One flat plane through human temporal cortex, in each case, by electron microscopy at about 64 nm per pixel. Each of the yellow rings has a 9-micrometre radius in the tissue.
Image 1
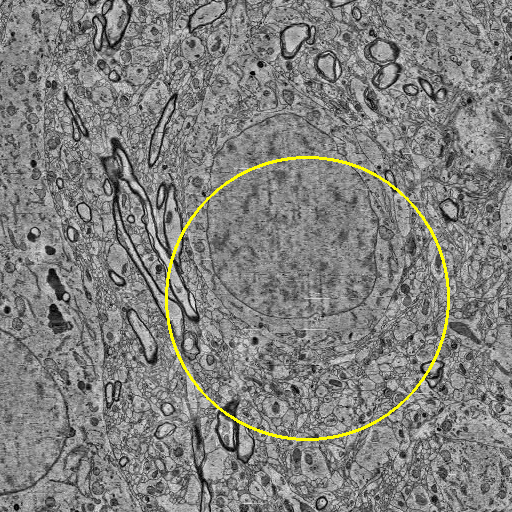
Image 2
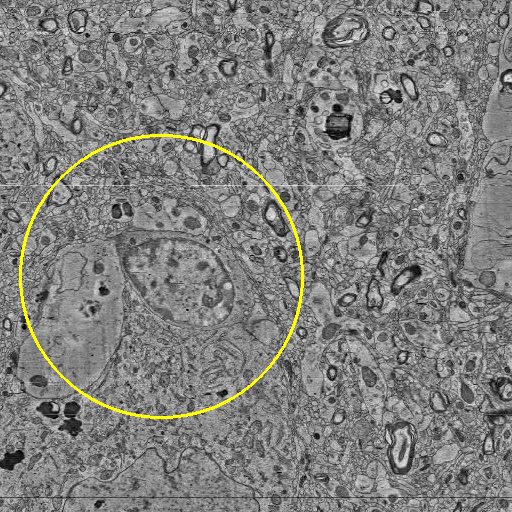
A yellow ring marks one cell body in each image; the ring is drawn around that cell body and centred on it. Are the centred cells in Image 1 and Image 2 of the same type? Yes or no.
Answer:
no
